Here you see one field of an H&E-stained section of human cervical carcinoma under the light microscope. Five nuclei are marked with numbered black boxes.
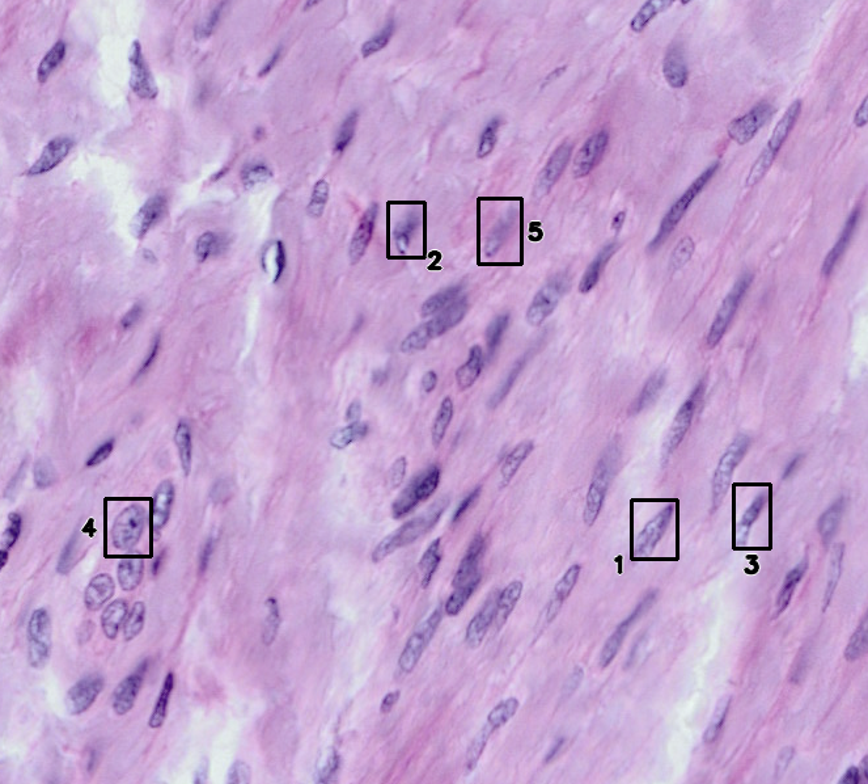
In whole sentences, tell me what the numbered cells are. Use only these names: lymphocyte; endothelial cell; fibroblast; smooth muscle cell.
Cell 1 is a fibroblast, cell 2 is a fibroblast, cell 3 is a fibroblast, cell 4 is an endothelial cell and cell 5 is a smooth muscle cell.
